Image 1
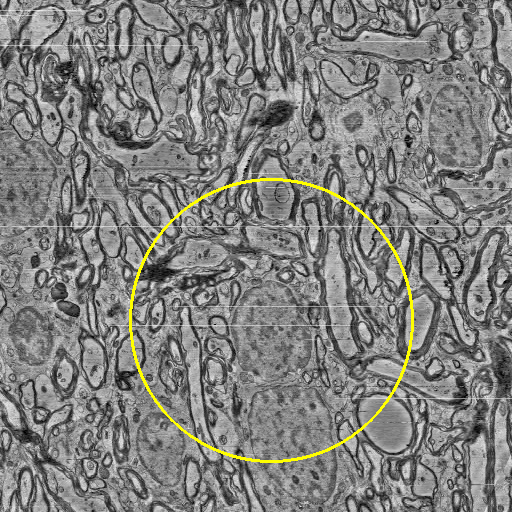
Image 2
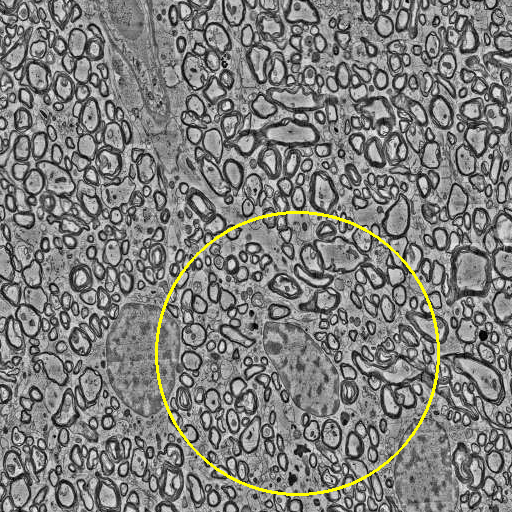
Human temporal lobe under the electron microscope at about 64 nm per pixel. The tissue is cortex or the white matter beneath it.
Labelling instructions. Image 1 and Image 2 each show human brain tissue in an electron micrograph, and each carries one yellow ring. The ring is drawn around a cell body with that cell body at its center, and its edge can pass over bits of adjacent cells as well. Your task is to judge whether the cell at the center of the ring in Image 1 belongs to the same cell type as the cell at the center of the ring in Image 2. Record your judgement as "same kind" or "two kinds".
two kinds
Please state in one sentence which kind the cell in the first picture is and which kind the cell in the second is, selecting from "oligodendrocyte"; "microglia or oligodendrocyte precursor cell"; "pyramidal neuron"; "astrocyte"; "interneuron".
The first ringed cell is an oligodendrocyte, the second ringed cell a microglial cell or oligodendrocyte precursor cell.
